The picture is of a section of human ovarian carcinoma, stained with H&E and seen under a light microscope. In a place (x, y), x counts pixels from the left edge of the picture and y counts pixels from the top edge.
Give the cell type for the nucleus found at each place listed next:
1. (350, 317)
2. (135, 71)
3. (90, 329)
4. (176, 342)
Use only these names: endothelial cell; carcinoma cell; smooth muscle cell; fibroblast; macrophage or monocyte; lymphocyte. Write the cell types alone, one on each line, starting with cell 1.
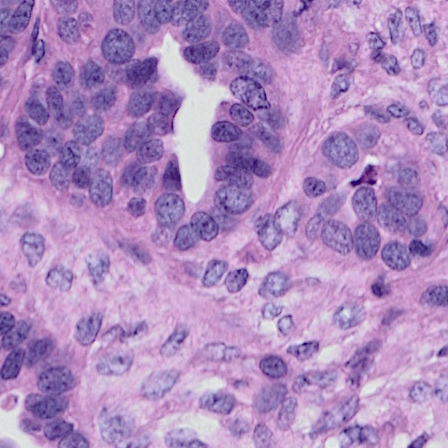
fibroblast
carcinoma cell
fibroblast
fibroblast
